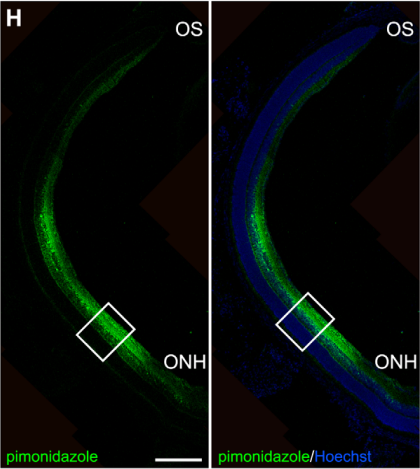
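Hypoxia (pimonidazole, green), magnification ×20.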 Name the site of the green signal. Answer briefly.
inner retina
